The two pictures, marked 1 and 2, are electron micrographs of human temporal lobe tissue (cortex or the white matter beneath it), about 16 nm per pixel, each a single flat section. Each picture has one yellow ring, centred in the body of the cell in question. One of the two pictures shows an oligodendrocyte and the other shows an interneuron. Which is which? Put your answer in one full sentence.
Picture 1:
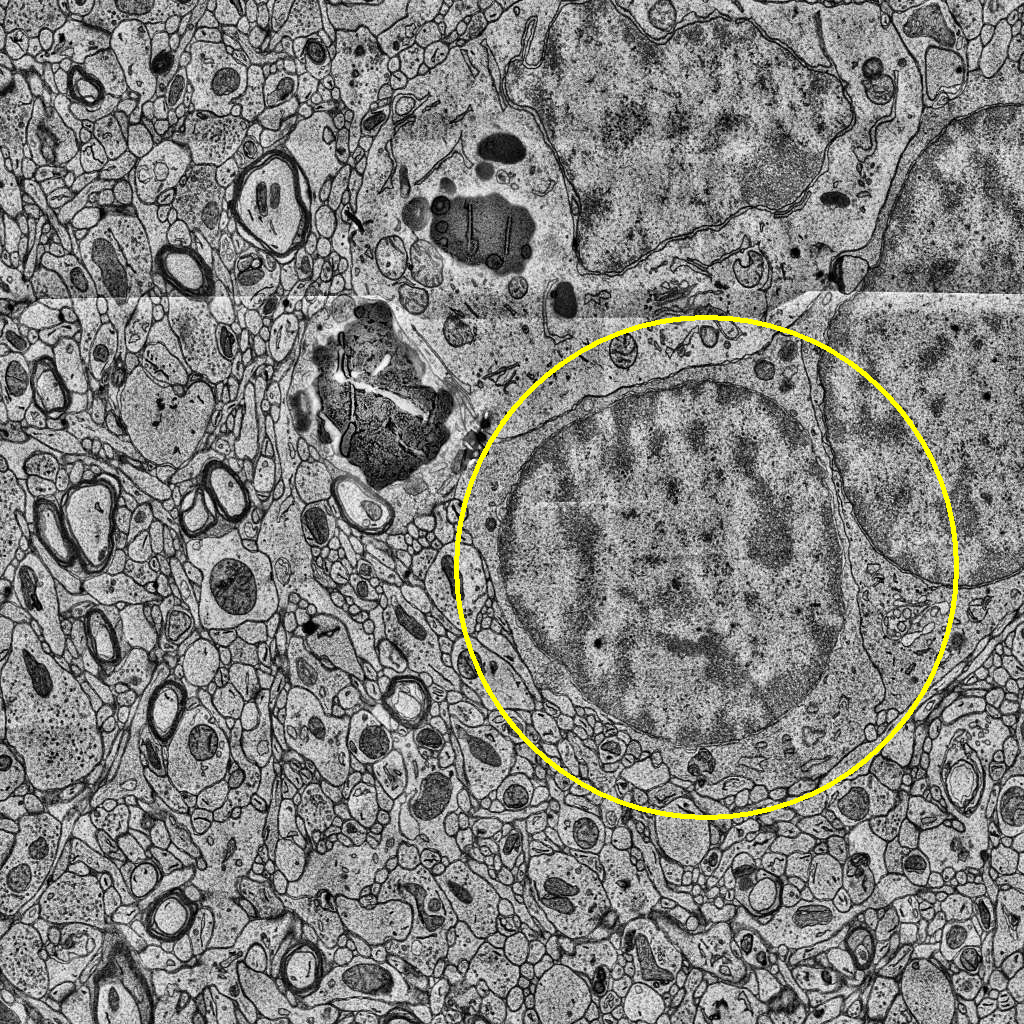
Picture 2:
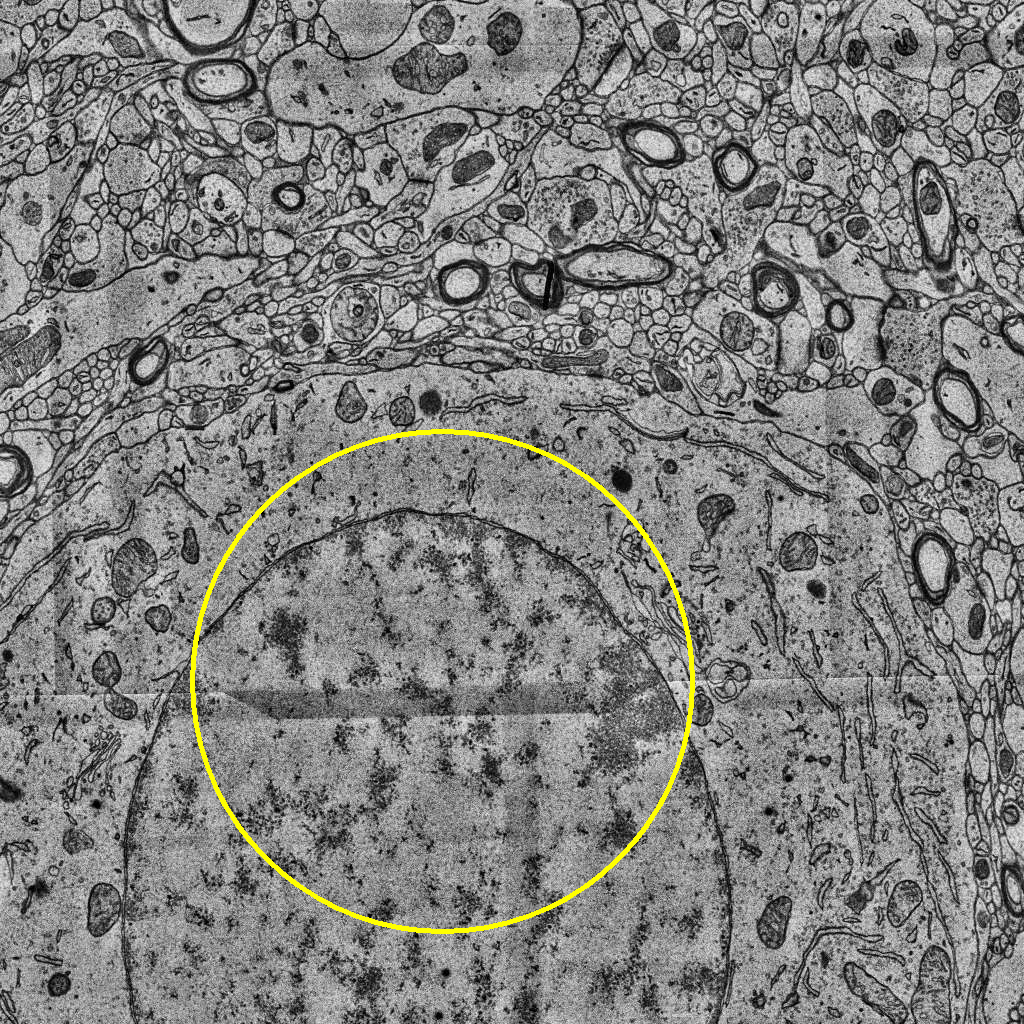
Picture 2 shows an interneuron, while picture 1 shows an oligodendrocyte.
